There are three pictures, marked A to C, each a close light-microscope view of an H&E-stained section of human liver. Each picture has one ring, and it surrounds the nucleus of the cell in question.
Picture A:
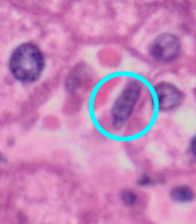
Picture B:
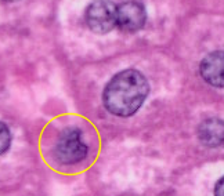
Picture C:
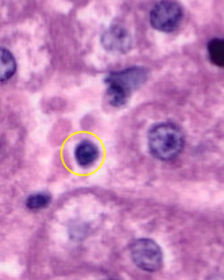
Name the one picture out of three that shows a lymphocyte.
C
